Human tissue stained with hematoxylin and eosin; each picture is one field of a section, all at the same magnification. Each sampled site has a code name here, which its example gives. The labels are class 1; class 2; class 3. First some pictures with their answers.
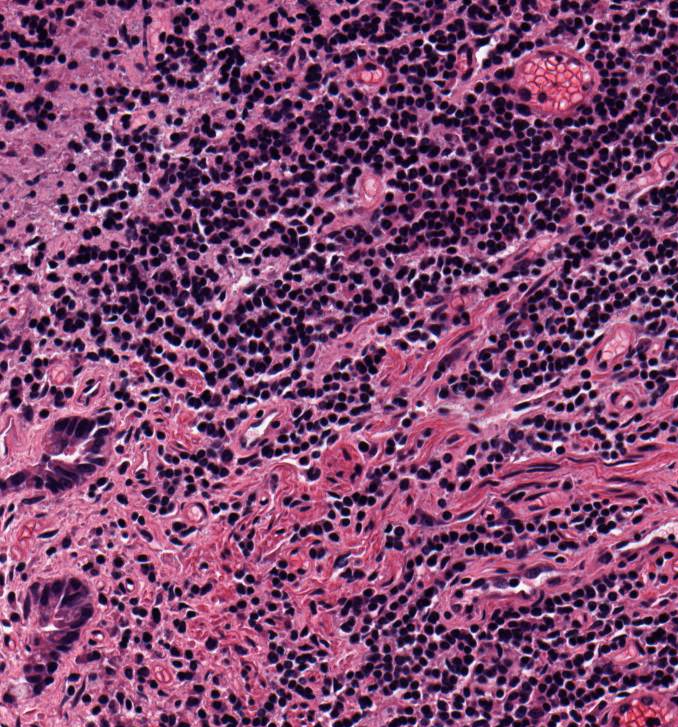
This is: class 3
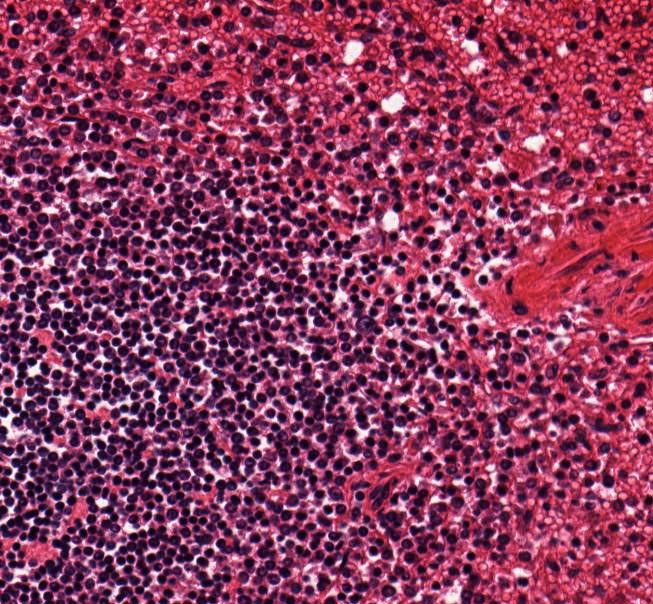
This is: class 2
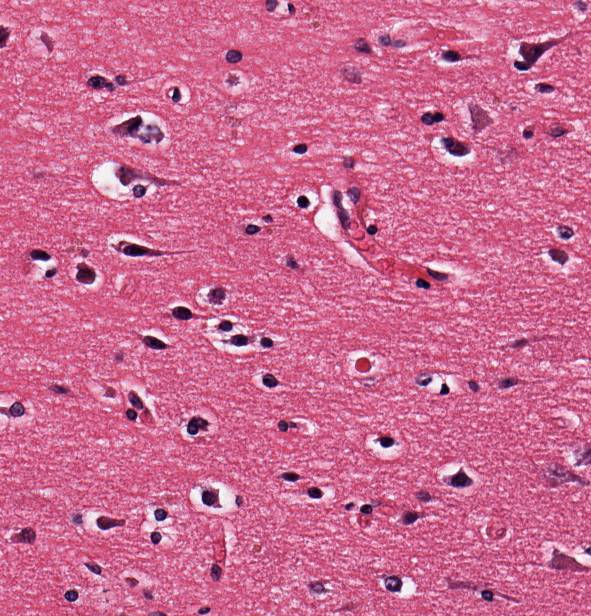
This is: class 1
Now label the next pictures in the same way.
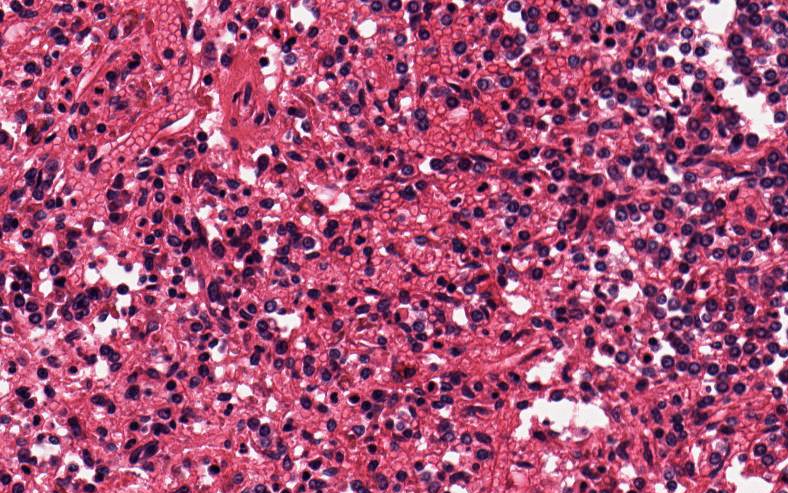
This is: class 2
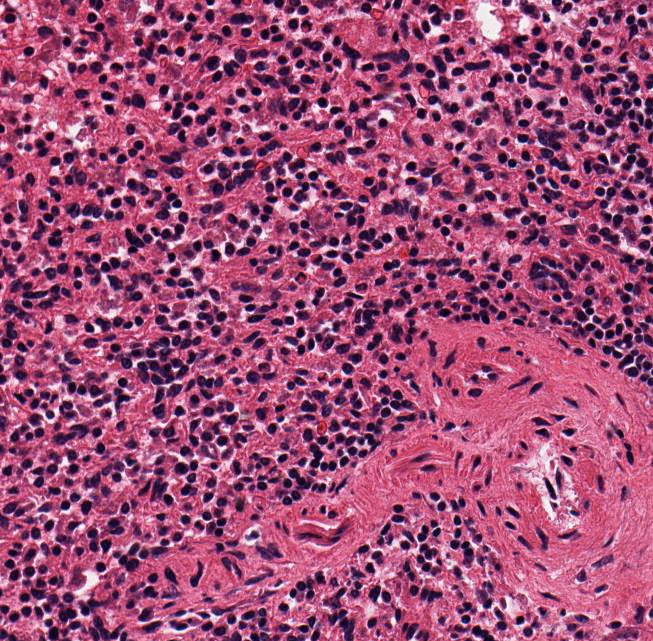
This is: class 2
